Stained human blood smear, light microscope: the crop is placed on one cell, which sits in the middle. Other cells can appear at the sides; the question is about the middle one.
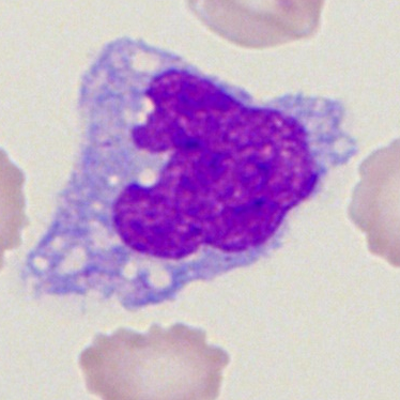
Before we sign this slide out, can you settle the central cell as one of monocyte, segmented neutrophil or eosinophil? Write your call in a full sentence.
The cell shown in the center of this light-microscope crop is a monocyte.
